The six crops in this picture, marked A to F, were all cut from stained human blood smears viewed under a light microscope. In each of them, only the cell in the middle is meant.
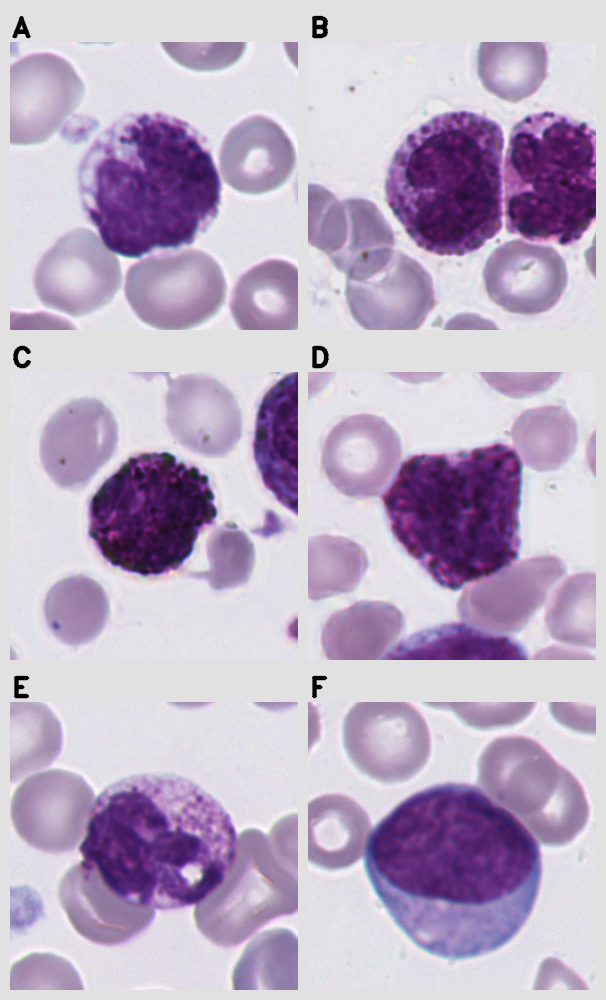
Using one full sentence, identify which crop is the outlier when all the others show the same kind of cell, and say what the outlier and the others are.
What sets crop F apart is that it shows a promyelocyte, while the others show basophils.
